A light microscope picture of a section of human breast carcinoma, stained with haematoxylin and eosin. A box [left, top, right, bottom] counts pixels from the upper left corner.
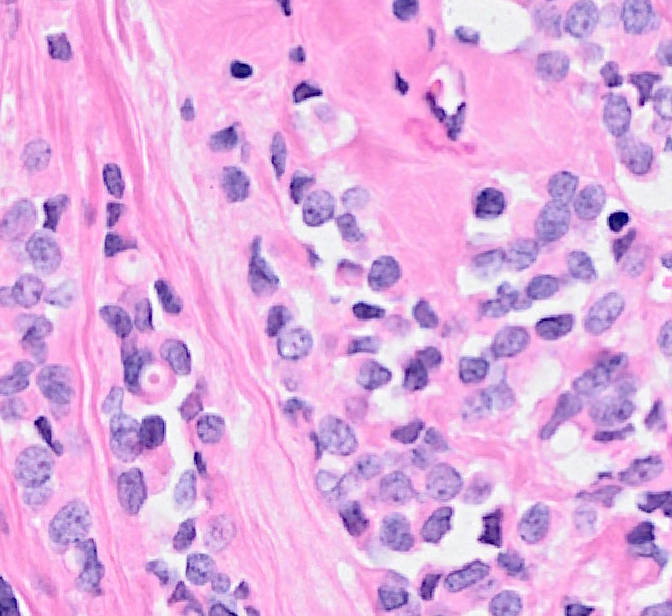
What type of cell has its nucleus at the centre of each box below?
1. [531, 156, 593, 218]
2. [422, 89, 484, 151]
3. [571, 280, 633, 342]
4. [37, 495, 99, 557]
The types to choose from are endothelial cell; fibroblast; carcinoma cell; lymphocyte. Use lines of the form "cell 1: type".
cell 1: carcinoma cell
cell 2: endothelial cell
cell 3: carcinoma cell
cell 4: carcinoma cell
